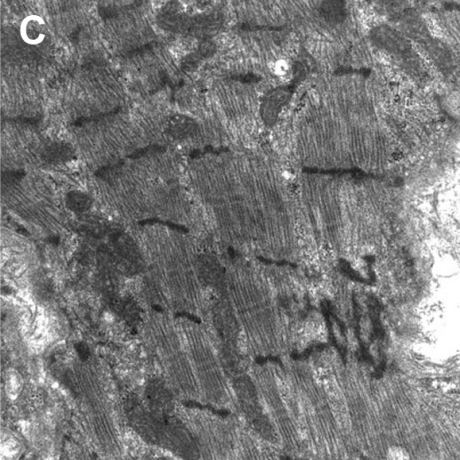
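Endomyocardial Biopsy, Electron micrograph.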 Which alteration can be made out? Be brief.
Z-disc streaming.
